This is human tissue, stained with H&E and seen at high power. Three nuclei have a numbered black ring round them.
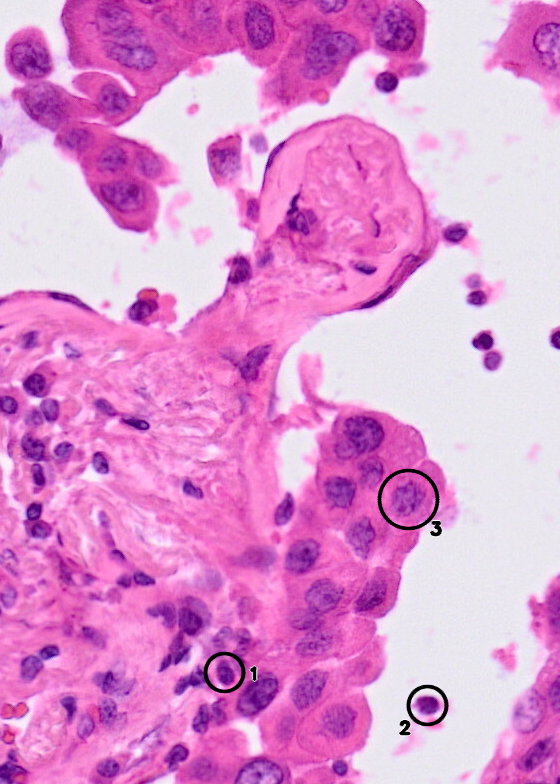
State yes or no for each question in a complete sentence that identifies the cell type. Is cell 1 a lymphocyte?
Yes, the cell numbered 1 in this tissue is a lymphocyte.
